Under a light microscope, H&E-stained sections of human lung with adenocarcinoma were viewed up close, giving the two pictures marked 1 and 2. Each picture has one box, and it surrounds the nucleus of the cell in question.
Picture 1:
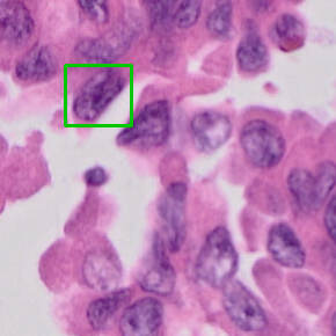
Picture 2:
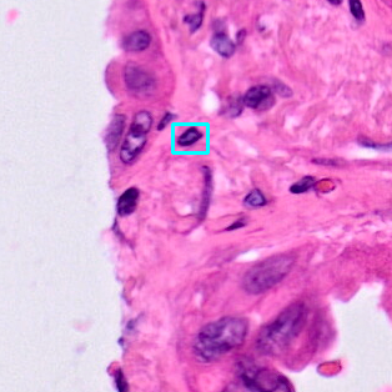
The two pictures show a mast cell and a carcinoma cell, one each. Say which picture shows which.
1: carcinoma cell
2: mast cell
